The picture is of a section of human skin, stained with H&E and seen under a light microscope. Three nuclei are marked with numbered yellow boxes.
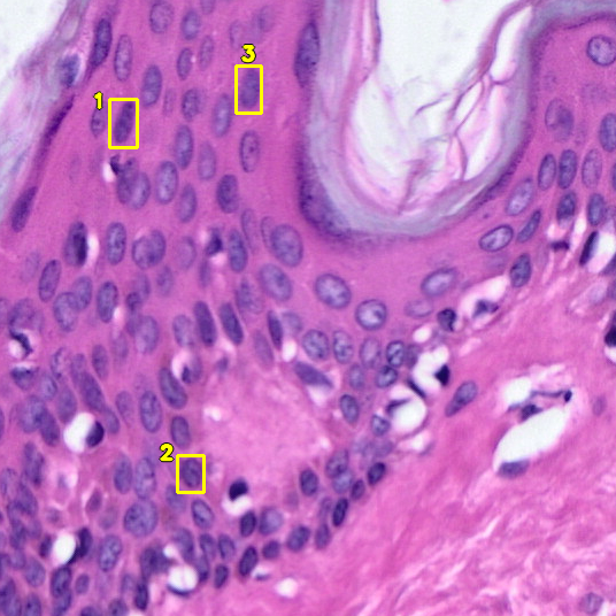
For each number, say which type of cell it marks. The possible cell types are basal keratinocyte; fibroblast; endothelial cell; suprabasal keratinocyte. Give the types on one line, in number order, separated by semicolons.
suprabasal keratinocyte; basal keratinocyte; suprabasal keratinocyte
